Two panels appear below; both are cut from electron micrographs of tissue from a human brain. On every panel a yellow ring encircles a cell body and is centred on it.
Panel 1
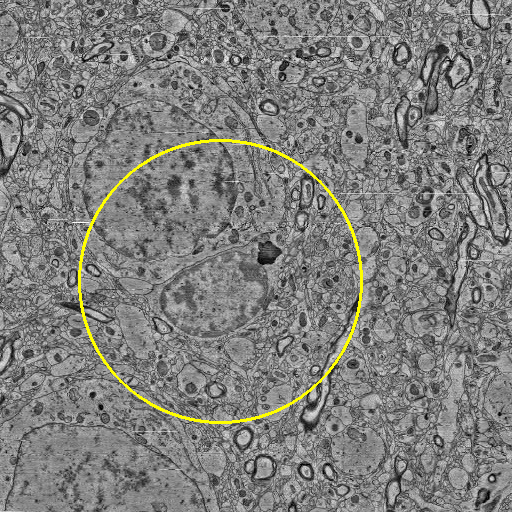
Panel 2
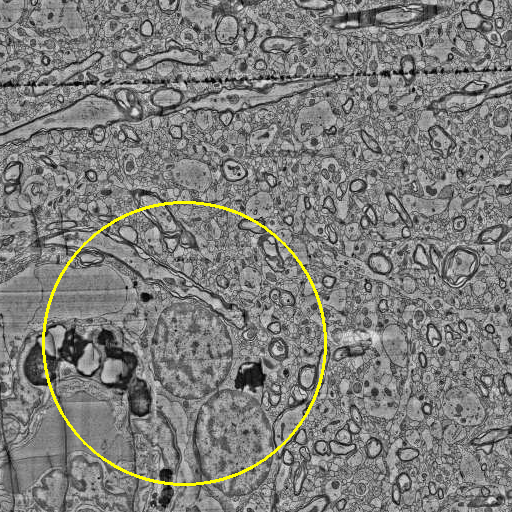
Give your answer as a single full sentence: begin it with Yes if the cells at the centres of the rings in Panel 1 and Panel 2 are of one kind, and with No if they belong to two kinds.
Yes, the cells in the middle of the rings in Panels 1 and 2 are of one kind.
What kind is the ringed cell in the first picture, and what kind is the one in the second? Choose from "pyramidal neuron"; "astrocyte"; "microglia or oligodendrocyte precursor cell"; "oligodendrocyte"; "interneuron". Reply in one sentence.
Each of the two rings surrounds an oligodendrocyte.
